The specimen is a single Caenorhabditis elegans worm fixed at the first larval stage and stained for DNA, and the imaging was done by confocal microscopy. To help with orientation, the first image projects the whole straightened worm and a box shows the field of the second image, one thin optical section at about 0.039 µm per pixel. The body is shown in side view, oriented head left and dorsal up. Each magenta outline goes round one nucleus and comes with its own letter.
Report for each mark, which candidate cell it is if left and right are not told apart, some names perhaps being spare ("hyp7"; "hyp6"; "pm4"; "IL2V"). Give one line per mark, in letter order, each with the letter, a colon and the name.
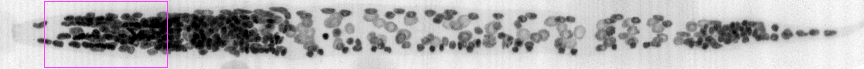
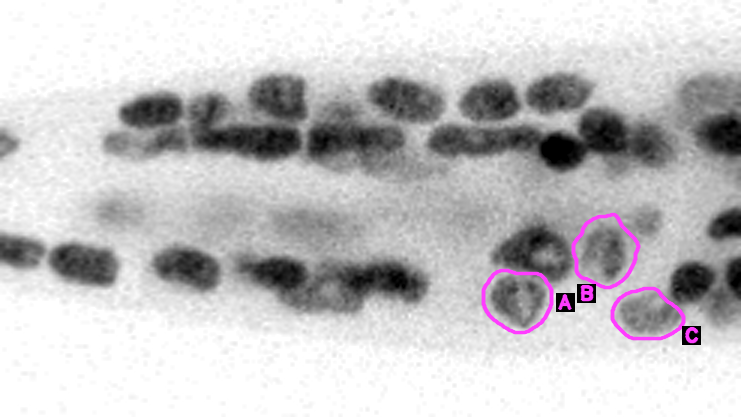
A: hyp6
B: pm4
C: hyp7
